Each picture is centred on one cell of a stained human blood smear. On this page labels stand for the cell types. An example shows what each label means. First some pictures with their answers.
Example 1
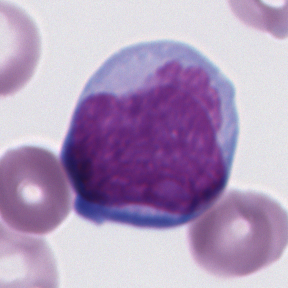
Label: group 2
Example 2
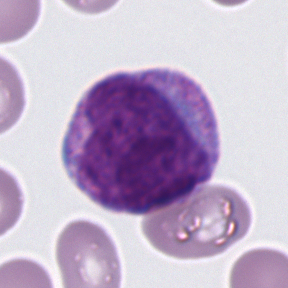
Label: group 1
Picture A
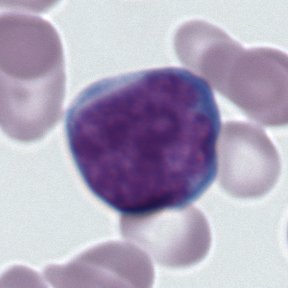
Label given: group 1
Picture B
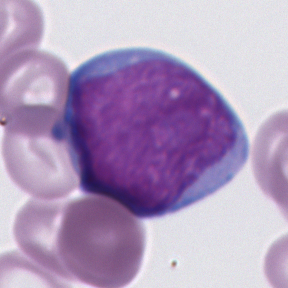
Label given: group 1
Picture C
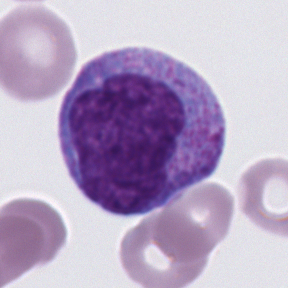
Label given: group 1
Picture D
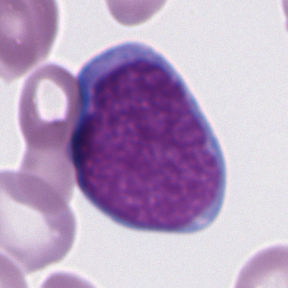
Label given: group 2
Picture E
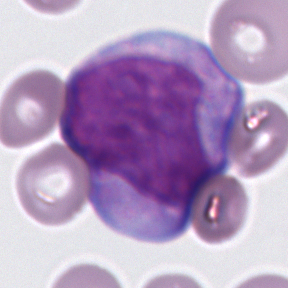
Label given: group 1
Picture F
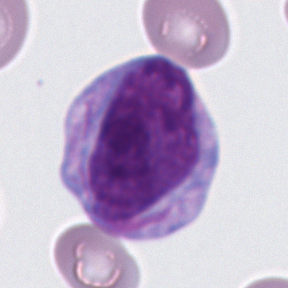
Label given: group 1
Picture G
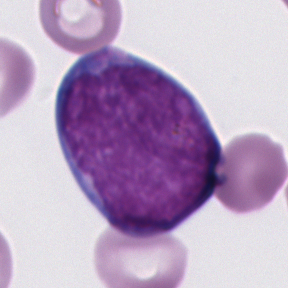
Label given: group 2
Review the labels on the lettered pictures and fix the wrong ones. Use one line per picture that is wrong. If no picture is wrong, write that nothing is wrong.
A: group 2, not group 1
B: group 2, not group 1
